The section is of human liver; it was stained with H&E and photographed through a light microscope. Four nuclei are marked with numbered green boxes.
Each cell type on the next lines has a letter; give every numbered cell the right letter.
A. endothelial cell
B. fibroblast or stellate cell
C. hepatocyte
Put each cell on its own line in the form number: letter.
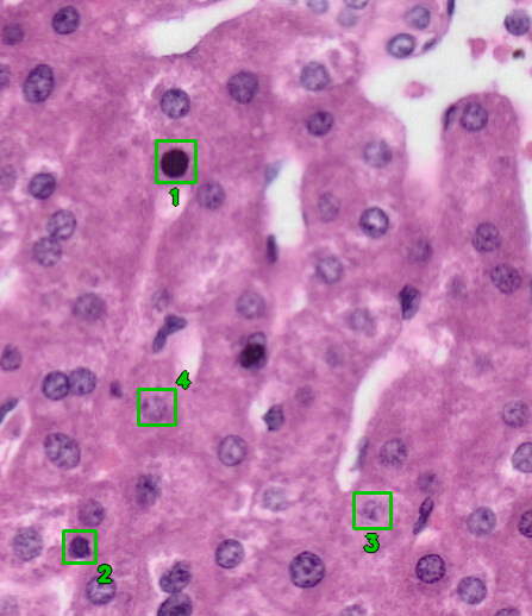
1: C
2: B
3: C
4: C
